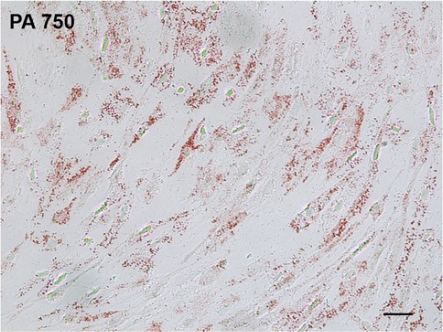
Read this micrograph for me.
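The cells are elongated and spindle-shaped, lying roughly parallel to one another in streams across the field. The red droplets are small and granular, packed into the cell bodies and trailing out along the cell extensions. Pale, greenish-refractile nuclear regions can be seen within some of the cells, surrounded by the red granules.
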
